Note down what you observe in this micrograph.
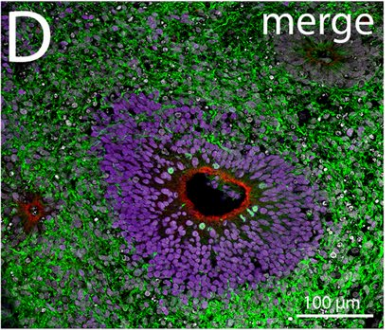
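This is a rosette of neuroepithelium around a ventricle-like lumen, with differentiating neurons around it. At the centre lies a small dark lumen outlined by a thin, continuous red ring at its apical surface. Around it a broad, roughly circular band of densely packed magenta nuclei extends outward, the nuclei elongated and pointing radially. Outside this band the tissue is filled by a dense green fibrous network with scattered white-grey nuclei, marking the basal side. Small additional rosette-like structures with red centres appear at the lower left and upper right edges.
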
